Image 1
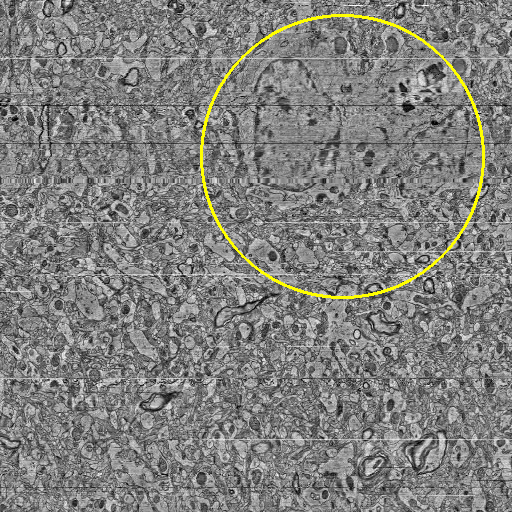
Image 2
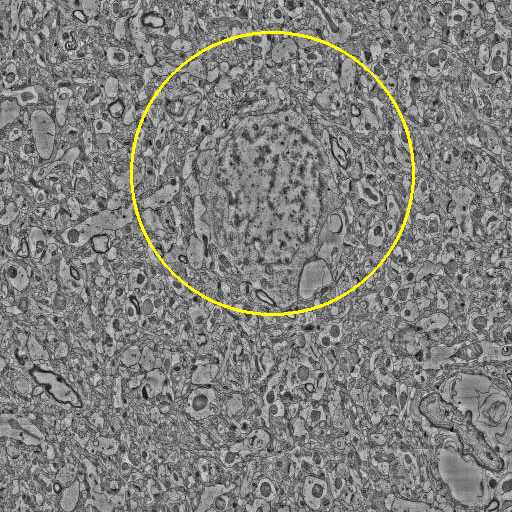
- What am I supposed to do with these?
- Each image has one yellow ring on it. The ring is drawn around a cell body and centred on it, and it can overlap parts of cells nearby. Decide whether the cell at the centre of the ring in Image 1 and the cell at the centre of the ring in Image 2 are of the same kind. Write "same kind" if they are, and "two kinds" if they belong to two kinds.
two kinds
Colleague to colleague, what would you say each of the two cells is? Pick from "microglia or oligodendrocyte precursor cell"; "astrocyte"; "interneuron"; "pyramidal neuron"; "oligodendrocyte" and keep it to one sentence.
The cell in the first picture is an astrocyte; the second picture's cell is an interneuron.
